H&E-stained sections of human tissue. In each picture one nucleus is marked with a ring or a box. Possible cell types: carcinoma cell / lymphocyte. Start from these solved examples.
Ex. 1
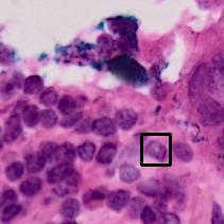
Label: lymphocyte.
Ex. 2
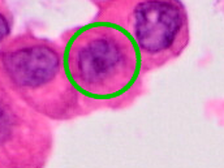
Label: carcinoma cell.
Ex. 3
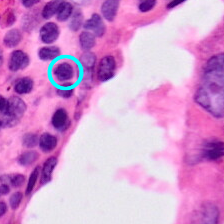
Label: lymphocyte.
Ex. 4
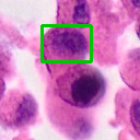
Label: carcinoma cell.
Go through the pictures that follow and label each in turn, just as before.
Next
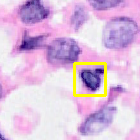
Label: lymphocyte.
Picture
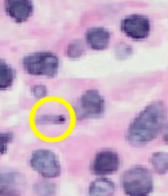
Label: lymphocyte.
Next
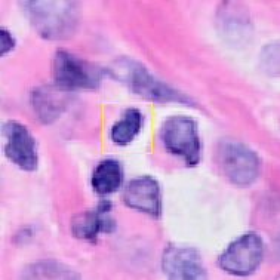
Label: lymphocyte.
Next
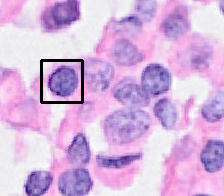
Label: carcinoma cell.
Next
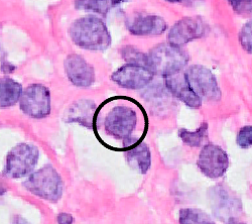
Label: carcinoma cell.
